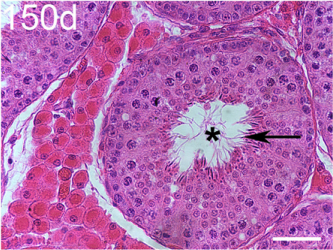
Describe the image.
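A round seminiferous tubule of a testis is lined by a stratified epithelium of spermatogenic cells, most of them round with round purple nuclei and light pink cytoplasm. The cells are packed in several layers from the thin outer wall toward an open, star-shaped central lumen, into which fine threads project from the innermost cells. To the left, outside the tubule, the interstitium holds clusters of large cells with abundant bright pink cytoplasm. A slice of another tubule is visible at the upper left.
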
